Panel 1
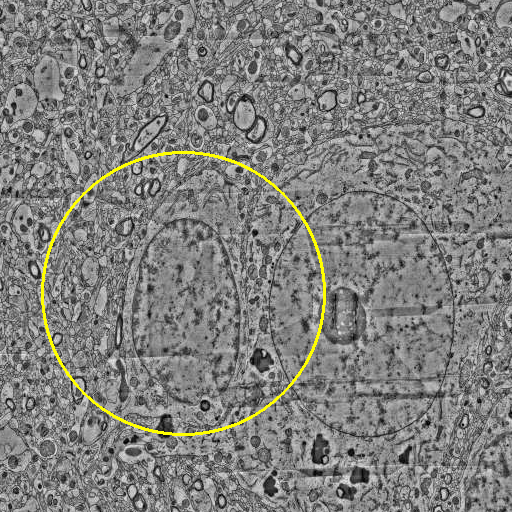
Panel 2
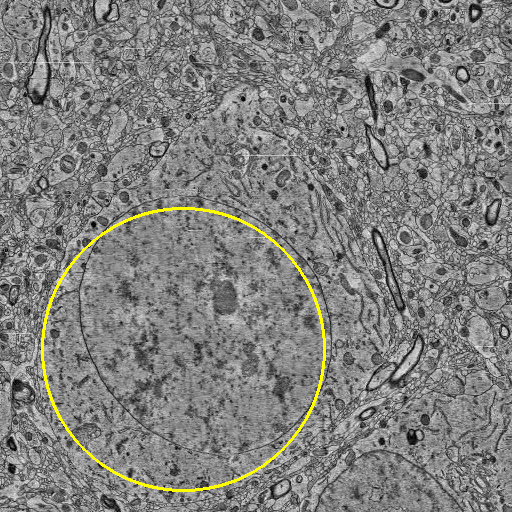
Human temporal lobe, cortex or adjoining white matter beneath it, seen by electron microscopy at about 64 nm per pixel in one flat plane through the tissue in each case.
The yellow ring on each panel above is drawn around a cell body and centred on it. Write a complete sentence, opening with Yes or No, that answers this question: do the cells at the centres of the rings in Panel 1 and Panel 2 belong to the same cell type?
No, the two cells belong to two cell types.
